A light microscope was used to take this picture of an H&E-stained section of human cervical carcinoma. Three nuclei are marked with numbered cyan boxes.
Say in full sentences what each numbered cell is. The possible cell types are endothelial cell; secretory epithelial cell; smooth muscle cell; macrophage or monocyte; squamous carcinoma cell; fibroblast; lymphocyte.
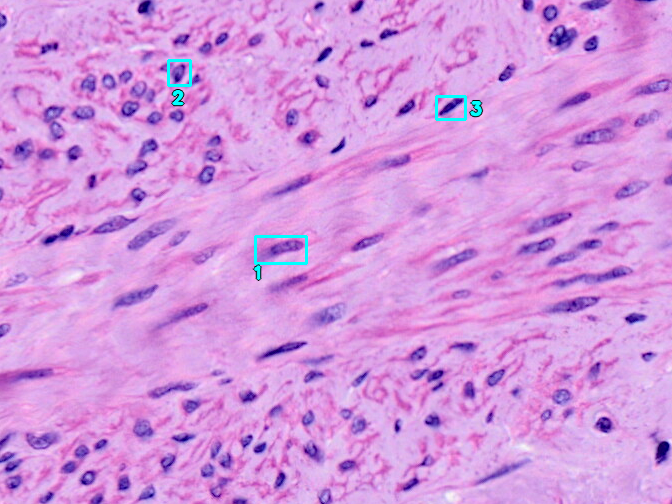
Cells 1 and 2 are smooth muscle cells. Cell 3 is a fibroblast.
